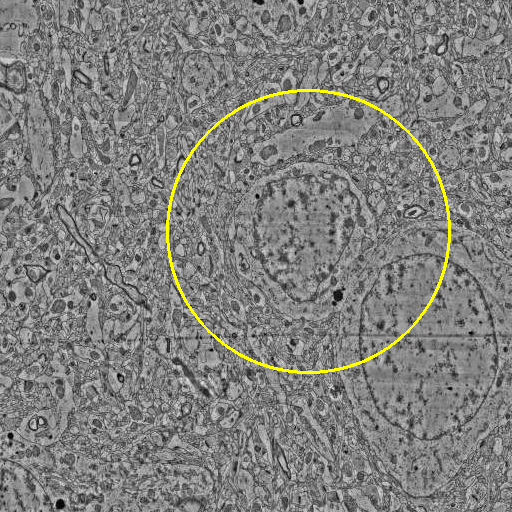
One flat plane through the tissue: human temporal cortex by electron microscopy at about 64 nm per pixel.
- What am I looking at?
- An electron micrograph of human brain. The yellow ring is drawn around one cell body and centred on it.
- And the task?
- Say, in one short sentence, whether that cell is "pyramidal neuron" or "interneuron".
The cell in the middle of the ring is an interneuron.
